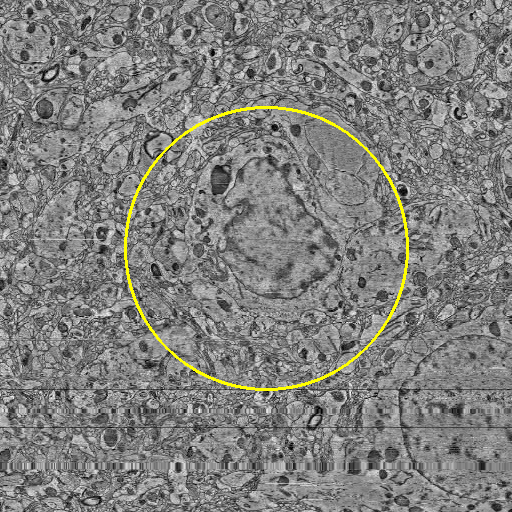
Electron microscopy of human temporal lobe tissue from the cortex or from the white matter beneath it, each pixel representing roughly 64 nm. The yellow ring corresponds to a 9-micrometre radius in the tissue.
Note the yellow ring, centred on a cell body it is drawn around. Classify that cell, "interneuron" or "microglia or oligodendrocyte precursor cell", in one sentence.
The cell the ring is centred on is an interneuron.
